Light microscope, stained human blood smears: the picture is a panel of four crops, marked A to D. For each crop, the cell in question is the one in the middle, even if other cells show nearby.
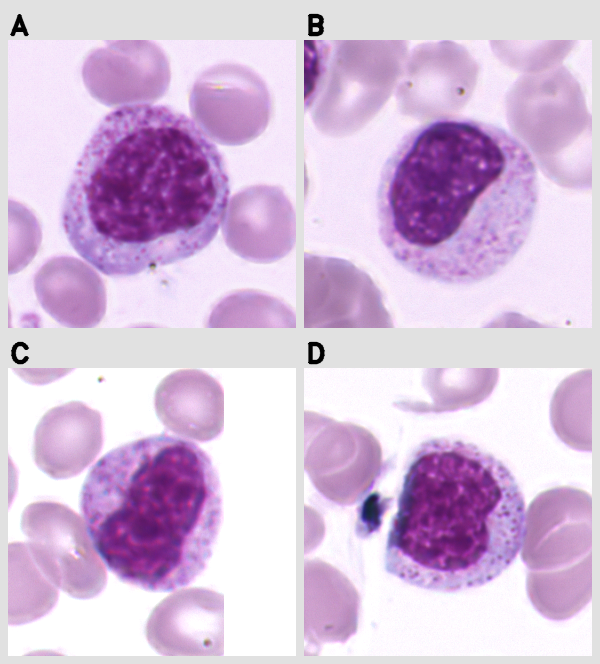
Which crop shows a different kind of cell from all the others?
A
